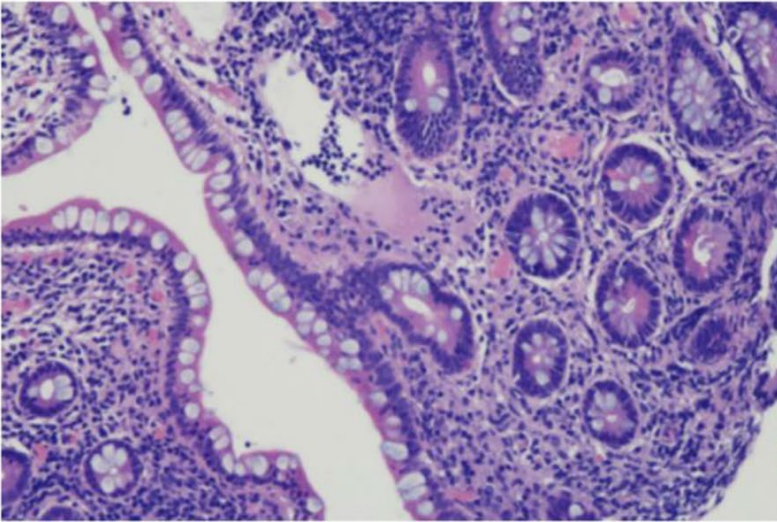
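Intestinal mucosa with a surface lining of tall columnar epithelium containing many pale, rounded goblet cells, and glands cut in cross-section that are also rich in goblet cells arranged around small central lumina. The lamina propria between the glands is densely packed with small cells with round, dark purple nuclei, forming a chronic inflammatory infiltrate. The glands are round and separate, with no collections of cells inside their lumina.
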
